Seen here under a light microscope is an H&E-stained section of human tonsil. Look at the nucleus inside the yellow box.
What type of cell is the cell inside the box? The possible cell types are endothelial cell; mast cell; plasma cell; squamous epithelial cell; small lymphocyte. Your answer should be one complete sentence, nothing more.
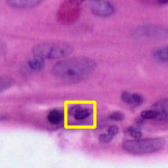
In this section of tissue, the cell inside the box is a squamous epithelial cell.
